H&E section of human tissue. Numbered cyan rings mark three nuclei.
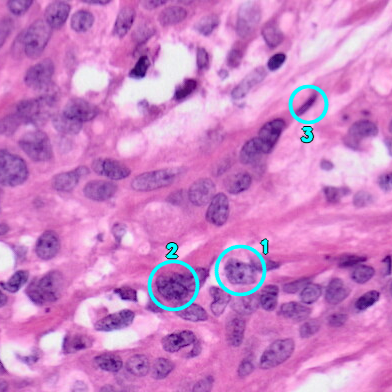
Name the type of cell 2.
carcinoma cell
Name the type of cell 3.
fibroblast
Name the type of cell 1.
macrophage or monocyte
